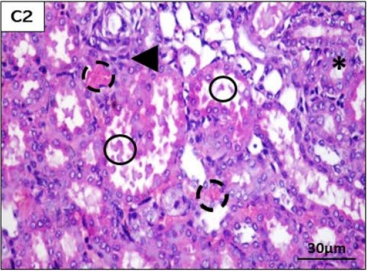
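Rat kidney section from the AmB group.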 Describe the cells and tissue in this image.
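This is renal cortex at higher power, with a tangle of tubules whose epithelial lining looks damaged. Several tubular lumens are filled with pink granular casts, and many lining cells are pale, swollen or vacuolated with some dark, condensed nuclei. Between the tubules, small vessels are crowded with red cells, and a few small dark round cells sit in the interstitium.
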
